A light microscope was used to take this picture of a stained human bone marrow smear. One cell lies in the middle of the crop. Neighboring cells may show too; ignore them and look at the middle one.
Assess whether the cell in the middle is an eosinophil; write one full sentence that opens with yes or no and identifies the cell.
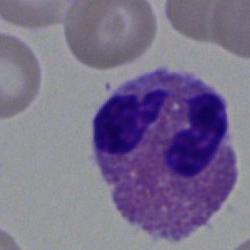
Yes, in this crop the cell in the middle is an eosinophil.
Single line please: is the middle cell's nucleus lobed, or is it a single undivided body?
Nuclear material here is separated into two or more segments.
